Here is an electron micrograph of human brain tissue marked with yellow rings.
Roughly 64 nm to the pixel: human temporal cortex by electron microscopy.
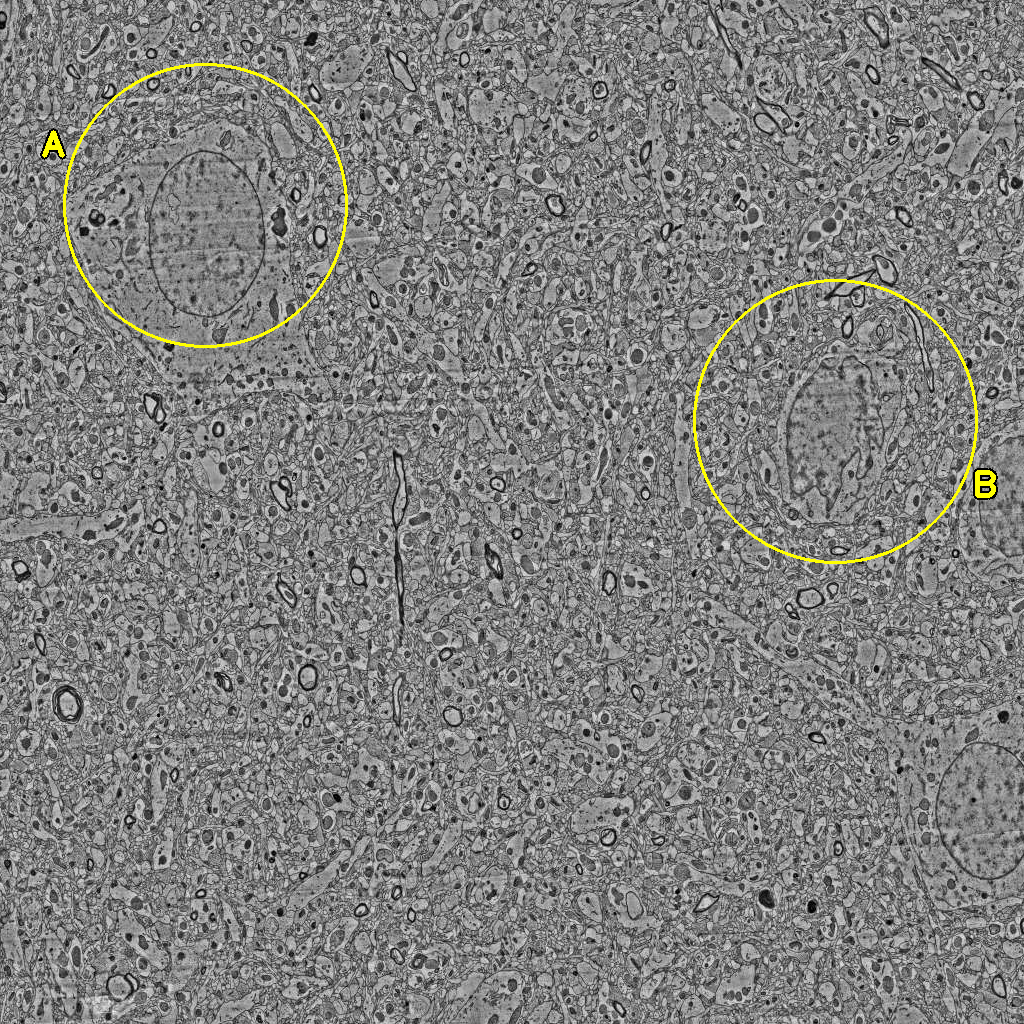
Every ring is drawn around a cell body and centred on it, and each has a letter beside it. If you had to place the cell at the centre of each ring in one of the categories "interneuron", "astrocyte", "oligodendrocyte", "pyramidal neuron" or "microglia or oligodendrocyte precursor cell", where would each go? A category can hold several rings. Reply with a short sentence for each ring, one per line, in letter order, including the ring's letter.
The centre of ring A holds a pyramidal neuron.
The centre of ring B holds an interneuron.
